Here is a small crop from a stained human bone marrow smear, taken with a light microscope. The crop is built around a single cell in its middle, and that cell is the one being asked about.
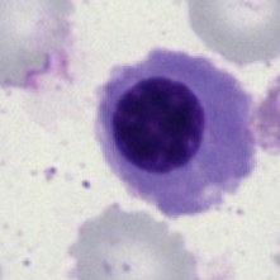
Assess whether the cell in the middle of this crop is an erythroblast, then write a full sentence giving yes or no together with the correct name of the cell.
Yes, an erythroblast is the cell positioned in the middle of the field.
